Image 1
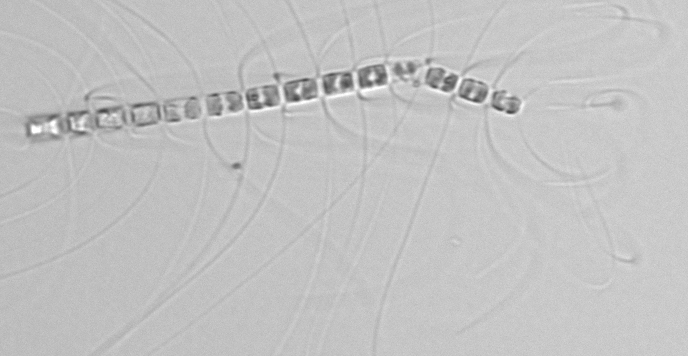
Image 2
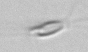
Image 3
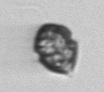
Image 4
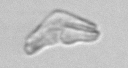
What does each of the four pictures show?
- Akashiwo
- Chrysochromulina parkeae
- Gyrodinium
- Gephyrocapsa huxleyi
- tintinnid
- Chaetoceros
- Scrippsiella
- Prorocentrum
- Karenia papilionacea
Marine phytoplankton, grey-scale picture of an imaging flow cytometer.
1: Chaetoceros
2: Chrysochromulina parkeae
3: Scrippsiella
4: Karenia papilionacea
